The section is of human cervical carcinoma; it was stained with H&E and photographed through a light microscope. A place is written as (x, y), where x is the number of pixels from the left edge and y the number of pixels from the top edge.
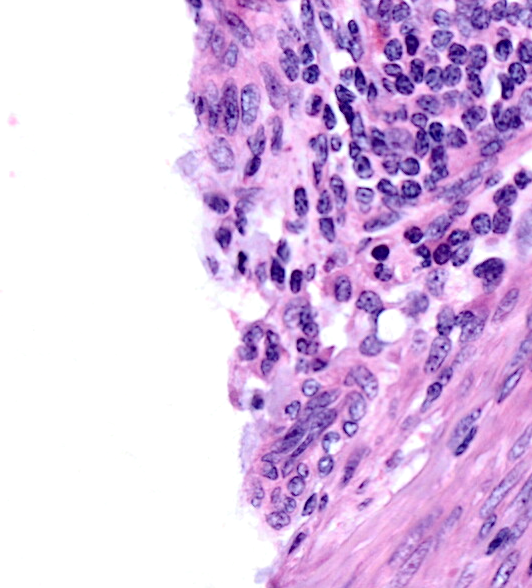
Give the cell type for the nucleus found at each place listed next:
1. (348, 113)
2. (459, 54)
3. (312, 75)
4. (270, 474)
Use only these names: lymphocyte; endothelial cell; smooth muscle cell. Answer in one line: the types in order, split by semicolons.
lymphocyte; lymphocyte; lymphocyte; endothelial cell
